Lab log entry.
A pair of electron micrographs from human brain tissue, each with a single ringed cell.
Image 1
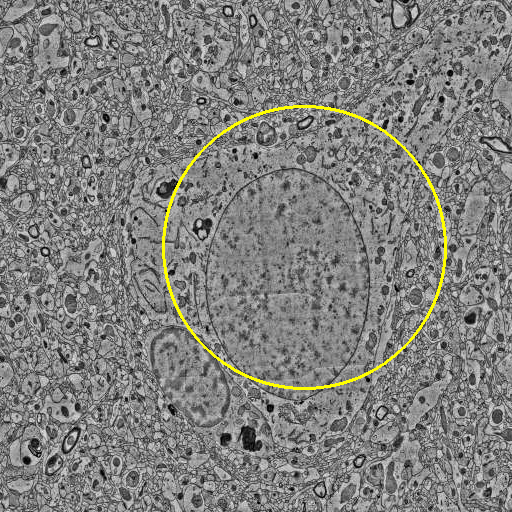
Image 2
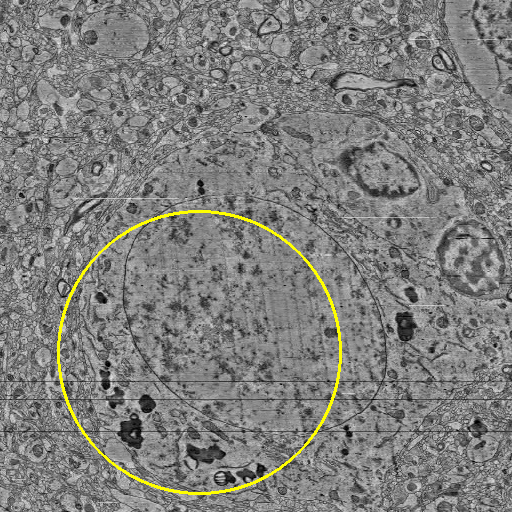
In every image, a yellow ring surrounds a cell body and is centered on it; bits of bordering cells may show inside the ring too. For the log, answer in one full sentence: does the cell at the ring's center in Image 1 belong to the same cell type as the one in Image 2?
Yes, the cells at the ring centers in Image 1 and Image 2 share one type.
